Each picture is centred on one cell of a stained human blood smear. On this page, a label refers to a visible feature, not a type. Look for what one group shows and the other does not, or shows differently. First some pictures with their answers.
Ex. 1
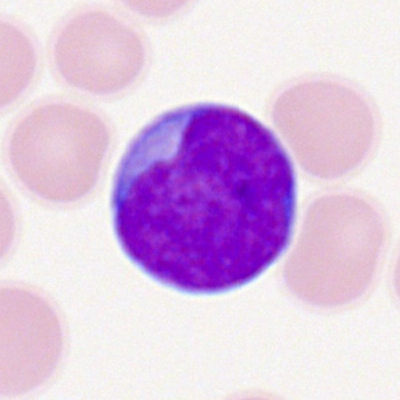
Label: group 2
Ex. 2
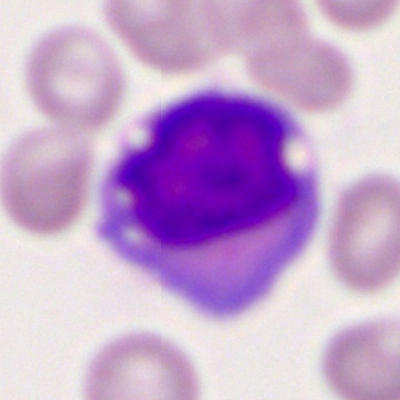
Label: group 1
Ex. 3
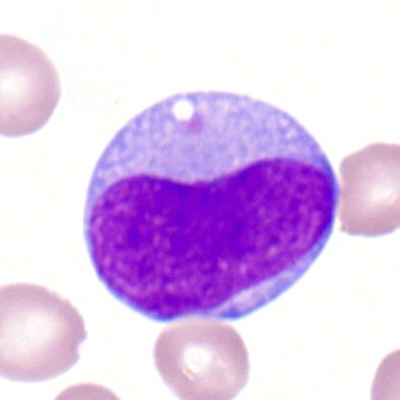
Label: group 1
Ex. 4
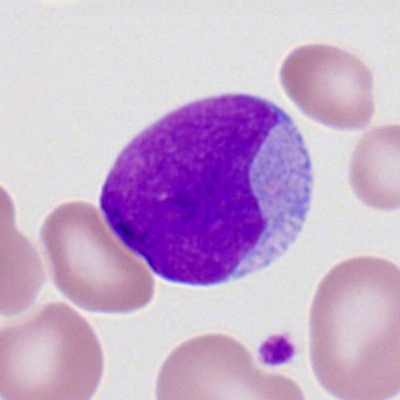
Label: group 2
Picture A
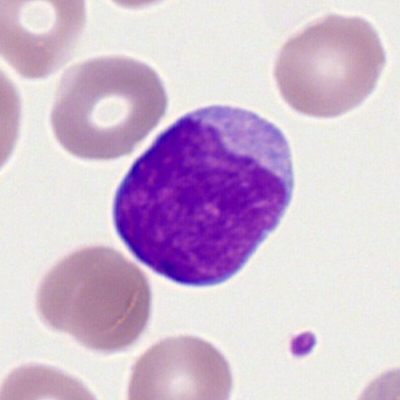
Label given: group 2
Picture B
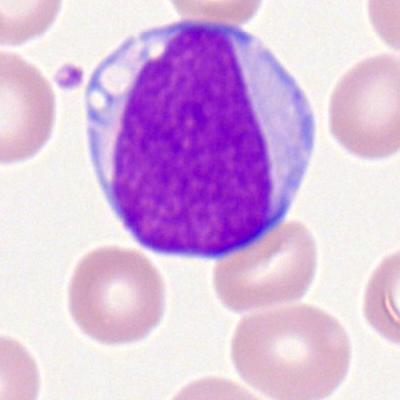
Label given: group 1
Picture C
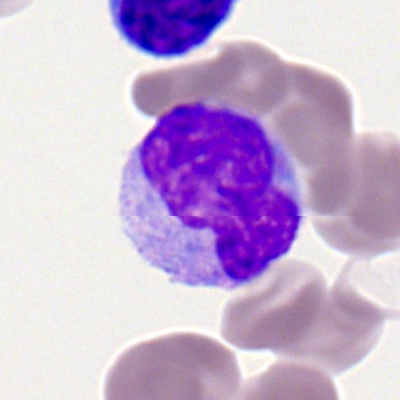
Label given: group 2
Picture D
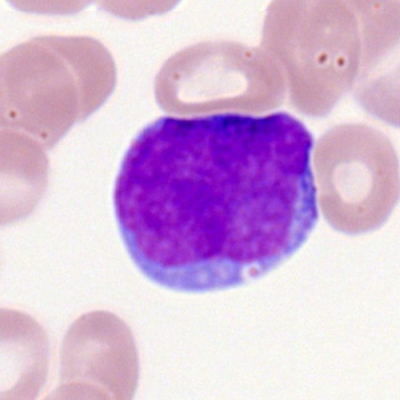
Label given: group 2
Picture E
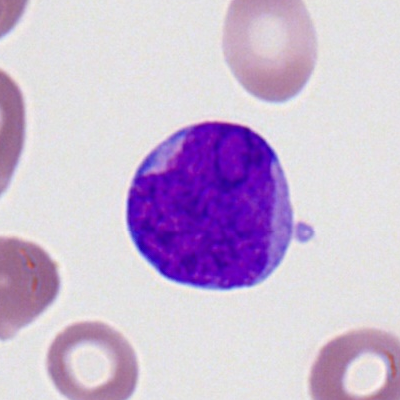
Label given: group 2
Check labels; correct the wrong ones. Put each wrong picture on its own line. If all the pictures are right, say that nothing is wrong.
Wrong: D (group 2); correct: group 1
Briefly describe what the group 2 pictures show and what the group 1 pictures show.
group 2, no vacuoles; group 1, vacuoles present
